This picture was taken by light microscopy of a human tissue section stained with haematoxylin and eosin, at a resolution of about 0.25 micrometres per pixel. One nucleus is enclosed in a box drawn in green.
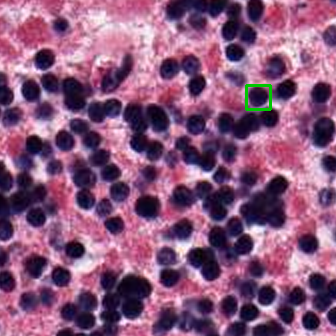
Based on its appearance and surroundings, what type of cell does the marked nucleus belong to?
cerebellar granule cell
